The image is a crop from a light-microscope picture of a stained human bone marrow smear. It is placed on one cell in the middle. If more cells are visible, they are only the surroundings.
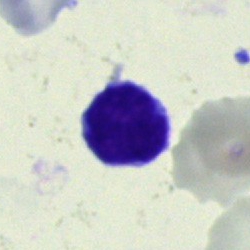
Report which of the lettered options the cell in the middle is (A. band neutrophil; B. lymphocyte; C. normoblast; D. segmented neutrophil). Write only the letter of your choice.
B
